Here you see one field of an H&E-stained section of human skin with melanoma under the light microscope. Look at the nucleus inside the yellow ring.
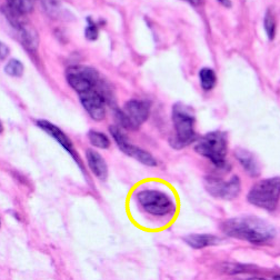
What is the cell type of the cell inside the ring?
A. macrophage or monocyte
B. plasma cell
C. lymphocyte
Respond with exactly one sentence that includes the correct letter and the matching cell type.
It is as option A has it, the cell inside the ring being a macrophage or monocyte.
